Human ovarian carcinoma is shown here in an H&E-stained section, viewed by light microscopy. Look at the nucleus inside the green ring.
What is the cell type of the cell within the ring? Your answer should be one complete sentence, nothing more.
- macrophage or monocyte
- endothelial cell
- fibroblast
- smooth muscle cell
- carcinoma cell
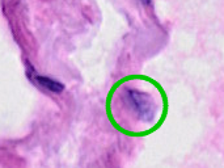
Within the stained tissue, the cell within the ring is an endothelial cell.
